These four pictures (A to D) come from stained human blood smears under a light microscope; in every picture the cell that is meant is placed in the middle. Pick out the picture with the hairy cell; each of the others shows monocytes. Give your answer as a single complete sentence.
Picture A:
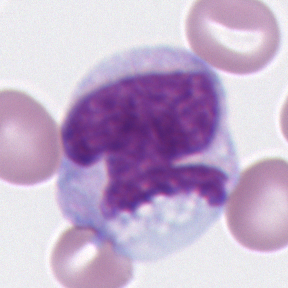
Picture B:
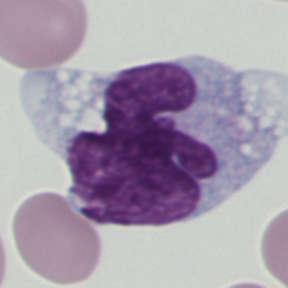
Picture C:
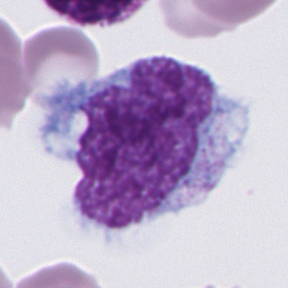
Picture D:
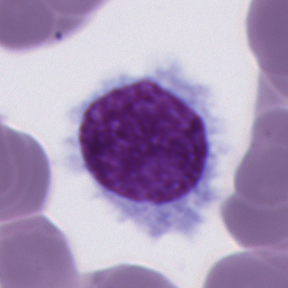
The picture with the hairy cell is D.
